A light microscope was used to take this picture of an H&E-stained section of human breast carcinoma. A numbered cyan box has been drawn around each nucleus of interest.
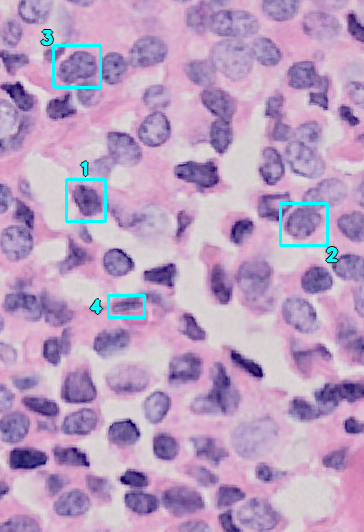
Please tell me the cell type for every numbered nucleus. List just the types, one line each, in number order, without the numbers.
carcinoma cell
carcinoma cell
carcinoma cell
endothelial cell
